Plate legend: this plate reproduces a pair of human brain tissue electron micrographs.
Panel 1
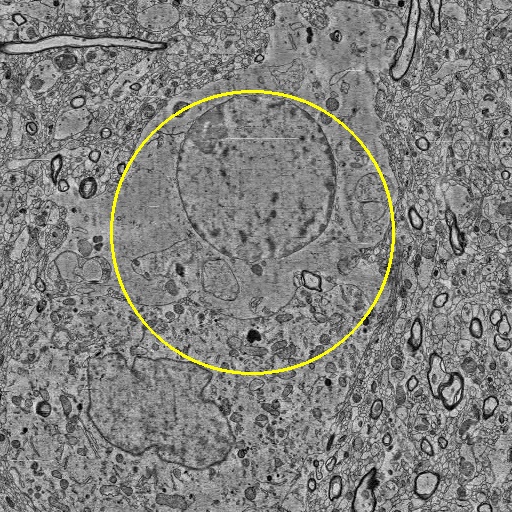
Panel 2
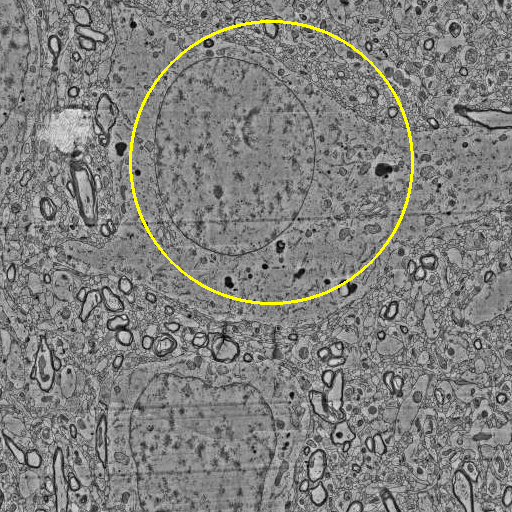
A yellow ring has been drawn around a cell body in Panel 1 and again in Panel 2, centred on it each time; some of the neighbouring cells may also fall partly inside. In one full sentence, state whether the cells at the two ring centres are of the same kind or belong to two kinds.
The ring-centred cells of Panel 1 and Panel 2 belong to two kinds.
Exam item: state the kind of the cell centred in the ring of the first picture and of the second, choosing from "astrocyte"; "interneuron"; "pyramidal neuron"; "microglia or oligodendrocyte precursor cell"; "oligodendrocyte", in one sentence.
The first picture shows an astrocyte at the ring centre and the second shows a pyramidal neuron.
